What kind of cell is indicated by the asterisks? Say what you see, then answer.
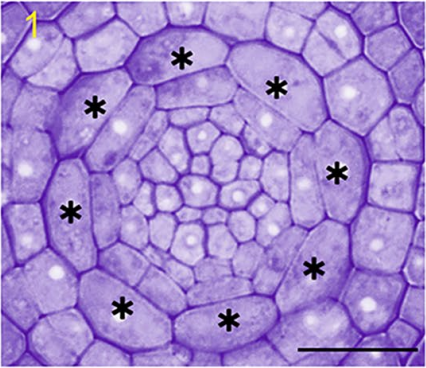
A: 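The marked cells form a single ring of large cells. The ring surrounds a central cluster of small polygonal cells. Further cell layers lie outside the ring. On this evidence: cortical cells.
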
